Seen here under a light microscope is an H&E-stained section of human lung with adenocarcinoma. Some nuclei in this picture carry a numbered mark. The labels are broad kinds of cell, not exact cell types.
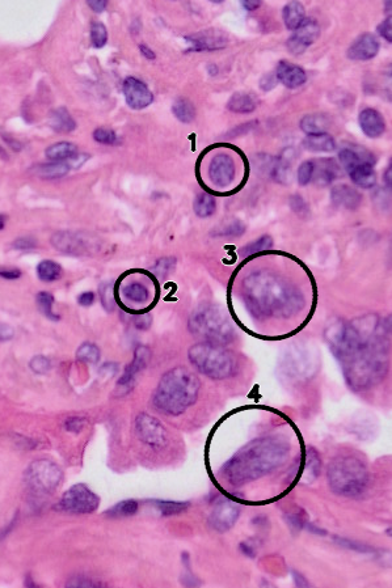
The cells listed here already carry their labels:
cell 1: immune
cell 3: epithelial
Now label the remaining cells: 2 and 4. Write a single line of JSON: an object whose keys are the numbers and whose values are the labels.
{"2": "immune", "4": "epithelial"}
